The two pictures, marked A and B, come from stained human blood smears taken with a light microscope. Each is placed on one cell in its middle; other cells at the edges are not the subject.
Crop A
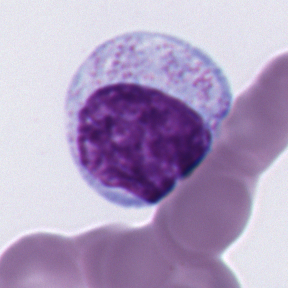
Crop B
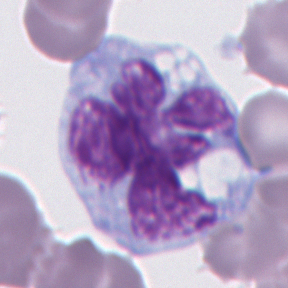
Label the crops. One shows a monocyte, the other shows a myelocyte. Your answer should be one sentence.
The cell of crop A is a myelocyte; that of crop B is a monocyte.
